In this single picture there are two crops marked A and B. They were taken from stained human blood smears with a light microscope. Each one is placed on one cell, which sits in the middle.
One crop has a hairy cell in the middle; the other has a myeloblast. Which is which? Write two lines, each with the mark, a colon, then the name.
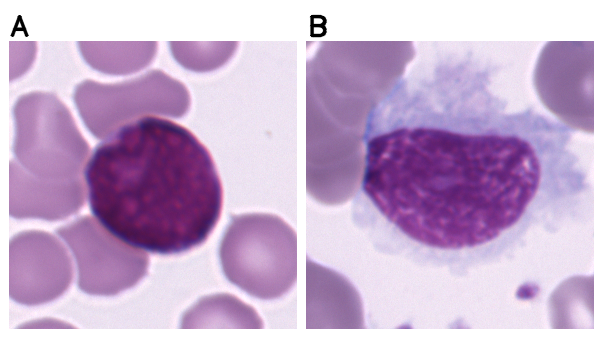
A: myeloblast
B: hairy cell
